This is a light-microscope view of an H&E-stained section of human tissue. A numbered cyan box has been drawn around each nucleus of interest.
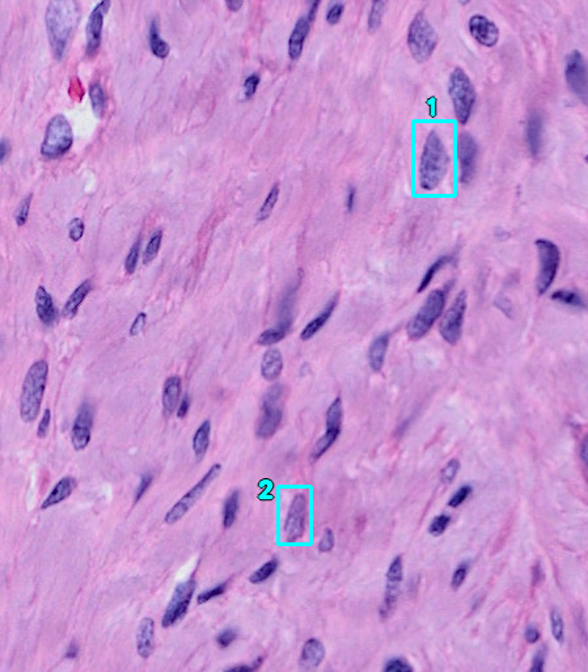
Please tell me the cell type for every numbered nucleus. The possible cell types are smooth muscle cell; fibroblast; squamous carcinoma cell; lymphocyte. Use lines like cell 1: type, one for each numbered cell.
cell 1: fibroblast
cell 2: smooth muscle cell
